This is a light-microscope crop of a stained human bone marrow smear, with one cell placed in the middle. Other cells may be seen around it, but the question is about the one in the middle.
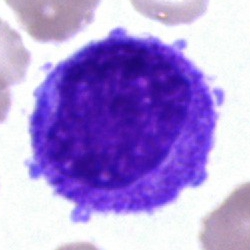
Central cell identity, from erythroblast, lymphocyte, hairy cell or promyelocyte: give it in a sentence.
At the middle of the frame sits a promyelocyte.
